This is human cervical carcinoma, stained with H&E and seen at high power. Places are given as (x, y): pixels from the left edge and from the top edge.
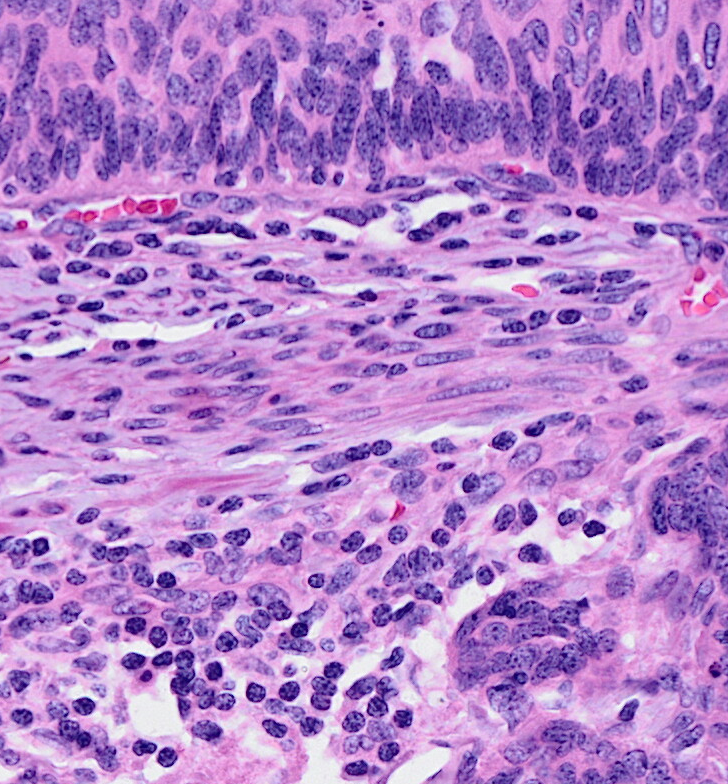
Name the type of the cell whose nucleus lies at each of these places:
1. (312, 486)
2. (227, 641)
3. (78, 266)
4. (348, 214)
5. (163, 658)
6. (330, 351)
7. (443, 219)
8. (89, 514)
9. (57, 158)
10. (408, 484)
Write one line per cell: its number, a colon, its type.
1: lymphocyte
2: lymphocyte
3: lymphocyte
4: endothelial cell
5: lymphocyte
6: smooth muscle cell
7: lymphocyte
8: lymphocyte
9: squamous carcinoma cell
10: endothelial cell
